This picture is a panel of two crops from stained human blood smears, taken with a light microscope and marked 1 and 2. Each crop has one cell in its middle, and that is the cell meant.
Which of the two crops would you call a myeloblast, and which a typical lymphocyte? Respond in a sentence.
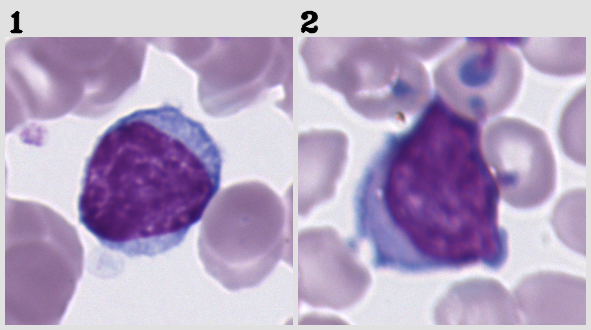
To sum up the two crops, crop 1 is a typical lymphocyte and crop 2 is a myeloblast.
